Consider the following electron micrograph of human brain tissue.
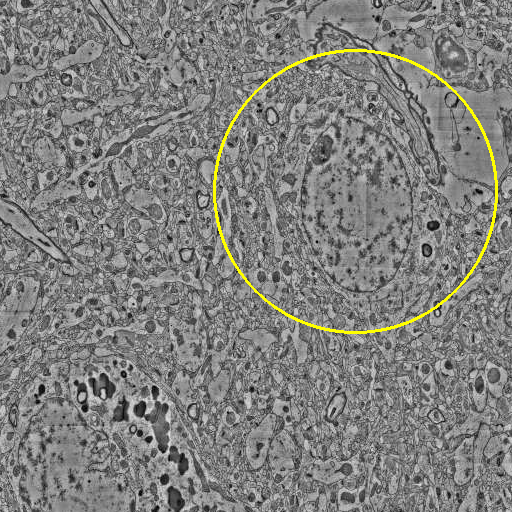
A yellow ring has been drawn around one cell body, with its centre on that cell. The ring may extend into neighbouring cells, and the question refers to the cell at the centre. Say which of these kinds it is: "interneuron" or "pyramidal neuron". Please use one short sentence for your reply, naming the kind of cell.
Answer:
The centre of the ring falls on a pyramidal neuron.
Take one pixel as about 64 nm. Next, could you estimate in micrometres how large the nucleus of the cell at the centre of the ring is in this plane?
The nucleus is approximately 11 micrometres long but only about 7 wide, clearly longer than it is wide in this plane.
